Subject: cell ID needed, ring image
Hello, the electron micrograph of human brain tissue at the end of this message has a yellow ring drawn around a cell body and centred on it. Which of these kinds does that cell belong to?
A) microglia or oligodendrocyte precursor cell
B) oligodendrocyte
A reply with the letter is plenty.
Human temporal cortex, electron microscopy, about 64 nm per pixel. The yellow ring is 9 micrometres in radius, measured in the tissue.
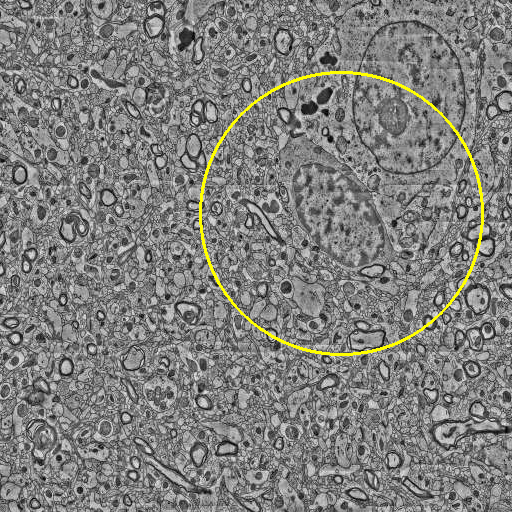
B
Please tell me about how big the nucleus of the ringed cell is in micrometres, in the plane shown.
The nucleus appears roughly 7 by 4 micrometres in this plane.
